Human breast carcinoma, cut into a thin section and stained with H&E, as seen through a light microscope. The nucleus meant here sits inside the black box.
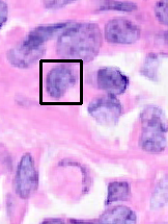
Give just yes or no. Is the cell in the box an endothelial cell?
no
